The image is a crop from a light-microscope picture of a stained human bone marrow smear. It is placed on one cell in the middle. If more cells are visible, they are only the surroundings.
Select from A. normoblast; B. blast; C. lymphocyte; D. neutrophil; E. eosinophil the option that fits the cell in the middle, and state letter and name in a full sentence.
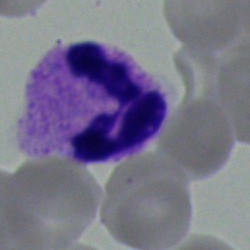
Option D is to be chosen, as the central cell is a neutrophil.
